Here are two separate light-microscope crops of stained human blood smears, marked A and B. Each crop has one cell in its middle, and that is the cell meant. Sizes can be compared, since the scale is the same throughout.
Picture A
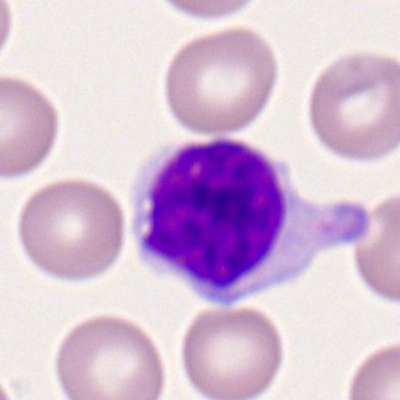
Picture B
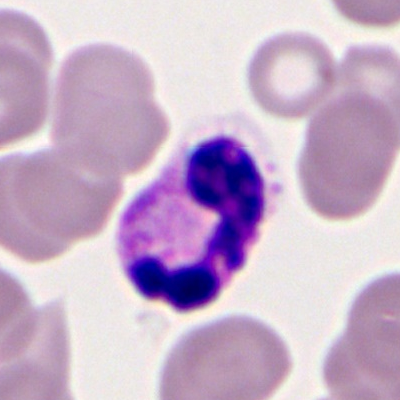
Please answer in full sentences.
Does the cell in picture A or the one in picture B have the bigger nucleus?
It is the nucleus in picture A, about 1.5 times as large in area as the one in picture B.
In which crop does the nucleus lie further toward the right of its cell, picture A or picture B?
It is the nucleus in picture B that lies further toward the right of its cell.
